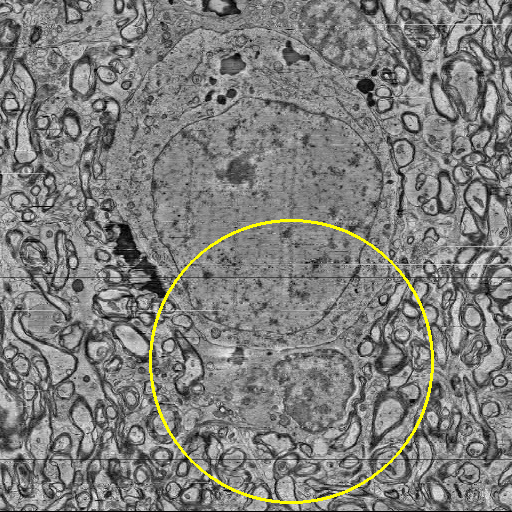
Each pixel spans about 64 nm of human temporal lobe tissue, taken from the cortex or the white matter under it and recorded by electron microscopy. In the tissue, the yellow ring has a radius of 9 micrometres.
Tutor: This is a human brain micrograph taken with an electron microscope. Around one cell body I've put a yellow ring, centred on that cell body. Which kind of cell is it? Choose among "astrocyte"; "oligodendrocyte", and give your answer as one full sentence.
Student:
Going by your list, the cell centred in the yellow ring is an oligodendrocyte.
